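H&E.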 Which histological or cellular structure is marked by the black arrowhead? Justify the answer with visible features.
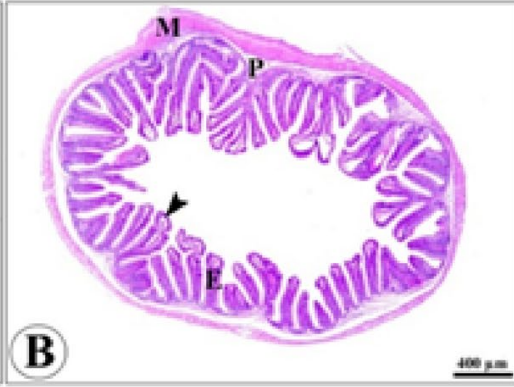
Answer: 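Numerous long, branching mucosal folds project into the central lumen. Each fold has a purple epithelial covering and a paler central core.
Conclusion: intestinal villi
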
